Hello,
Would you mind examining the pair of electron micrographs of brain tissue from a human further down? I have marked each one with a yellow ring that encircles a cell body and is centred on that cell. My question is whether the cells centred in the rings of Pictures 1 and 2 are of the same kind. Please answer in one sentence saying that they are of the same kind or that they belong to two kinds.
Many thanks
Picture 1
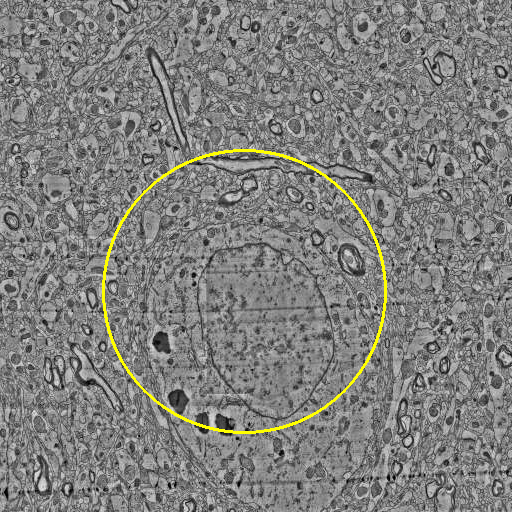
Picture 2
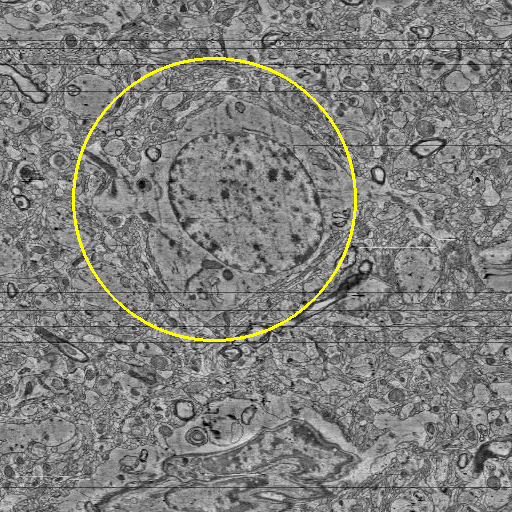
In Pictures 1 and 2, the cells at the heart of the rings belong to two kinds.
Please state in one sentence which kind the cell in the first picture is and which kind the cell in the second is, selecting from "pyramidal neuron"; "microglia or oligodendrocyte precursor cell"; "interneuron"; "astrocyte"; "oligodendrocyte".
The first ringed cell is a pyramidal neuron, the second ringed cell an astrocyte.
